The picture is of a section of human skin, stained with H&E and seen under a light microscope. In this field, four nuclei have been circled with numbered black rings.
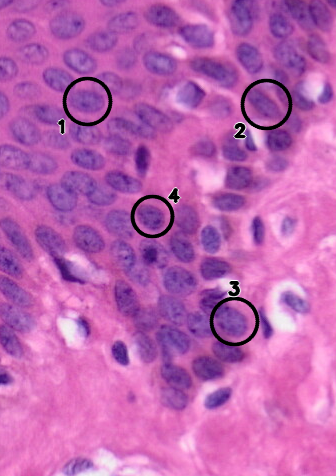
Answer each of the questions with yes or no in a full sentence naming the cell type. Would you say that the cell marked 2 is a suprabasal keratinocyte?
No, the cell marked 2 is a basal keratinocyte rather than a suprabasal keratinocyte.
